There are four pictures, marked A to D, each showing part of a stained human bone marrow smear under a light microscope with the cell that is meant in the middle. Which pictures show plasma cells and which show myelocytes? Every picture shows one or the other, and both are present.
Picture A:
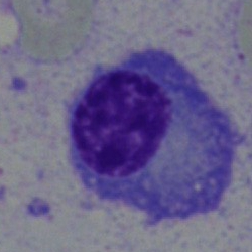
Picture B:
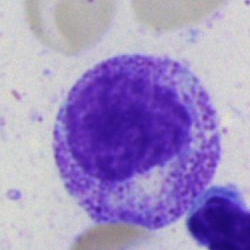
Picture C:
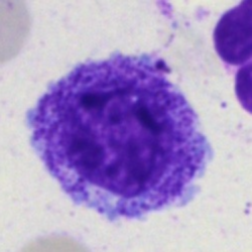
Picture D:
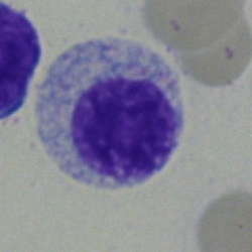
A: plasma cell
B: myelocyte
C: myelocyte
D: myelocyte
